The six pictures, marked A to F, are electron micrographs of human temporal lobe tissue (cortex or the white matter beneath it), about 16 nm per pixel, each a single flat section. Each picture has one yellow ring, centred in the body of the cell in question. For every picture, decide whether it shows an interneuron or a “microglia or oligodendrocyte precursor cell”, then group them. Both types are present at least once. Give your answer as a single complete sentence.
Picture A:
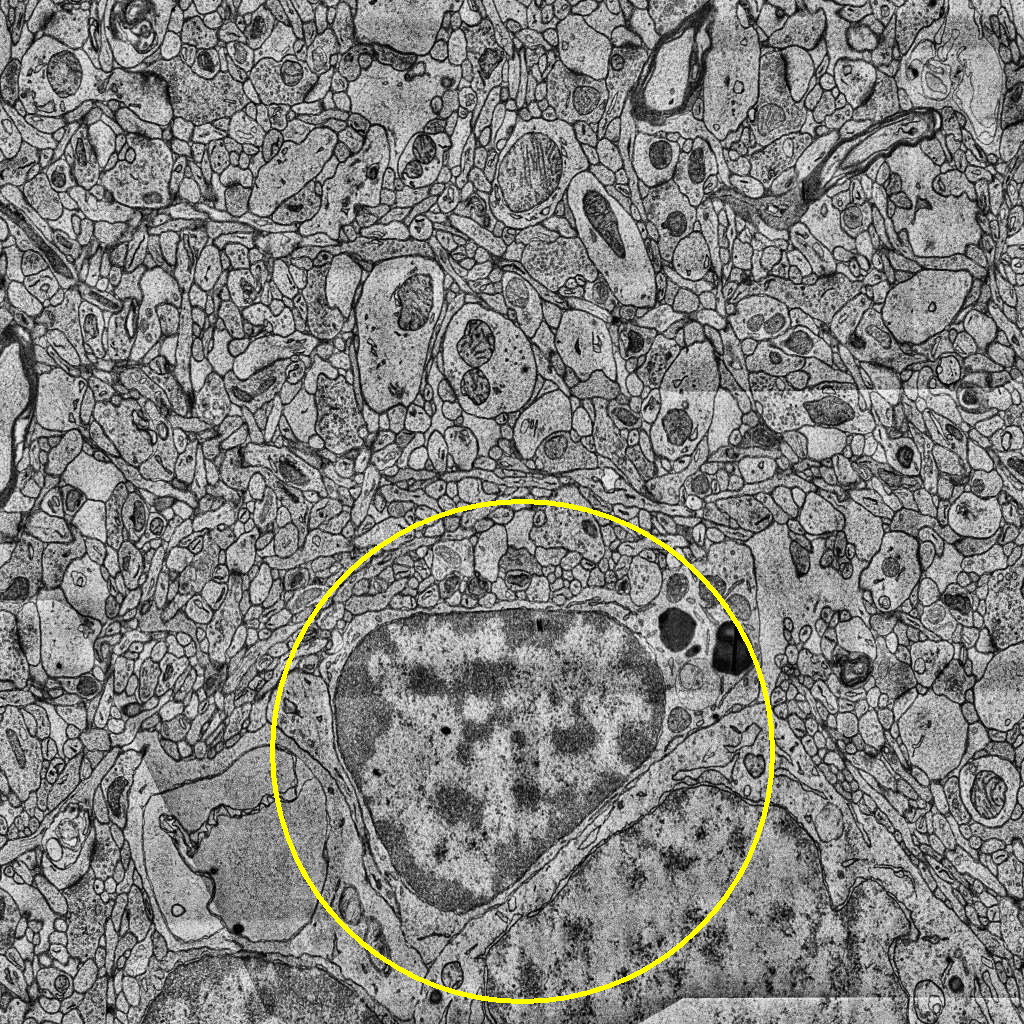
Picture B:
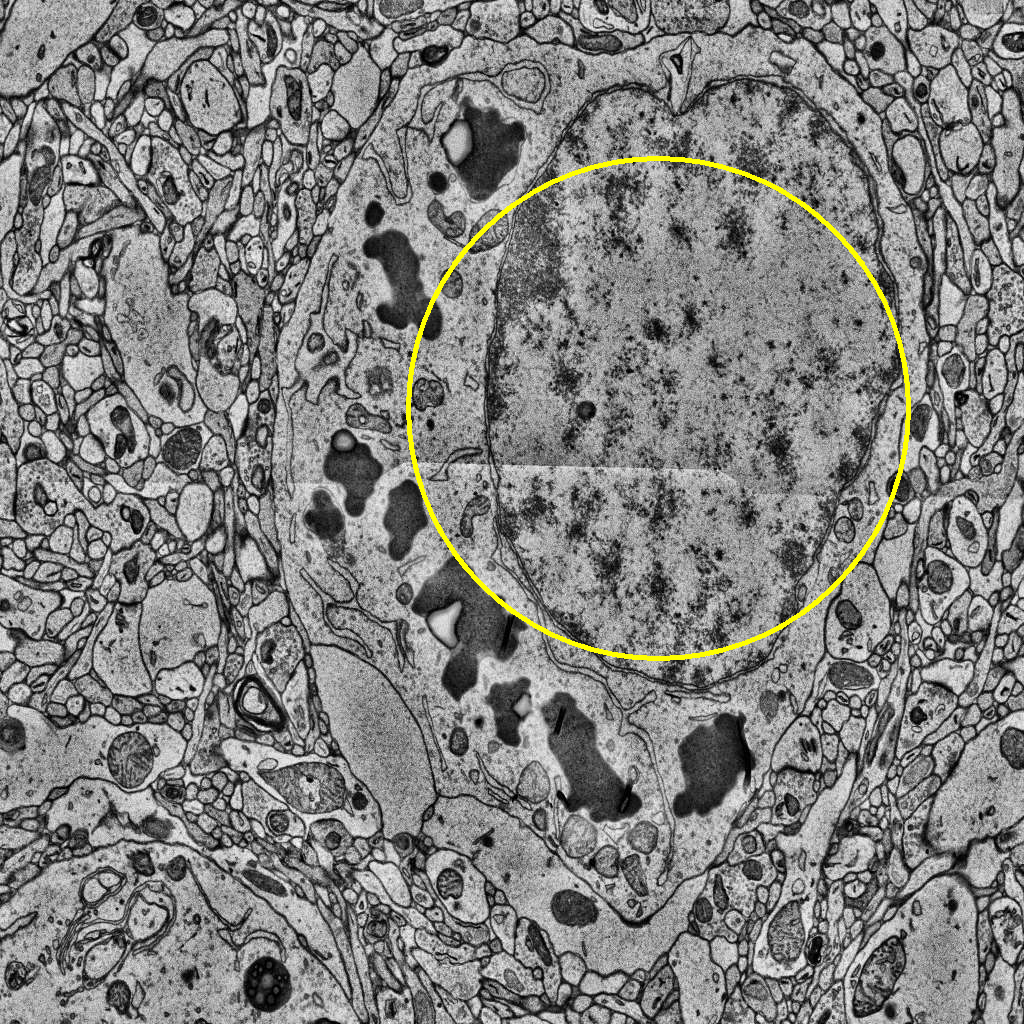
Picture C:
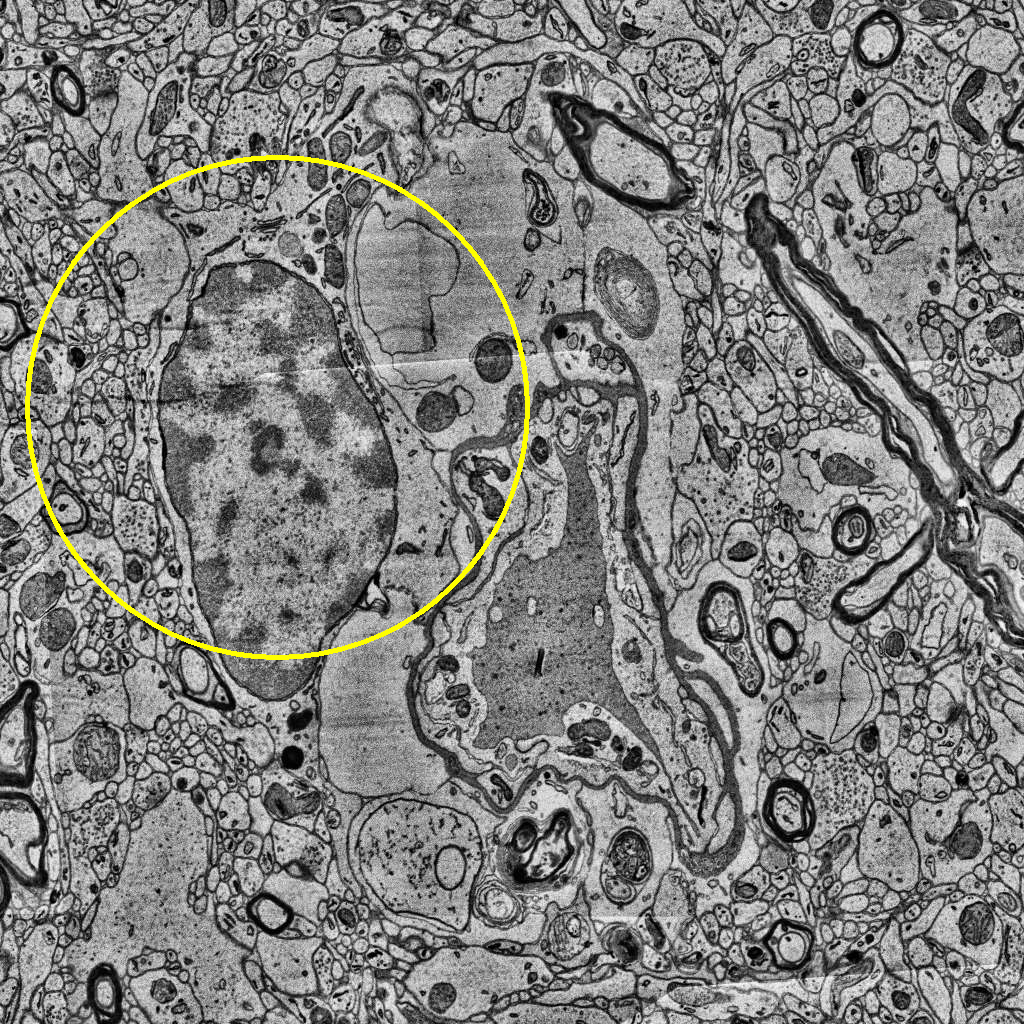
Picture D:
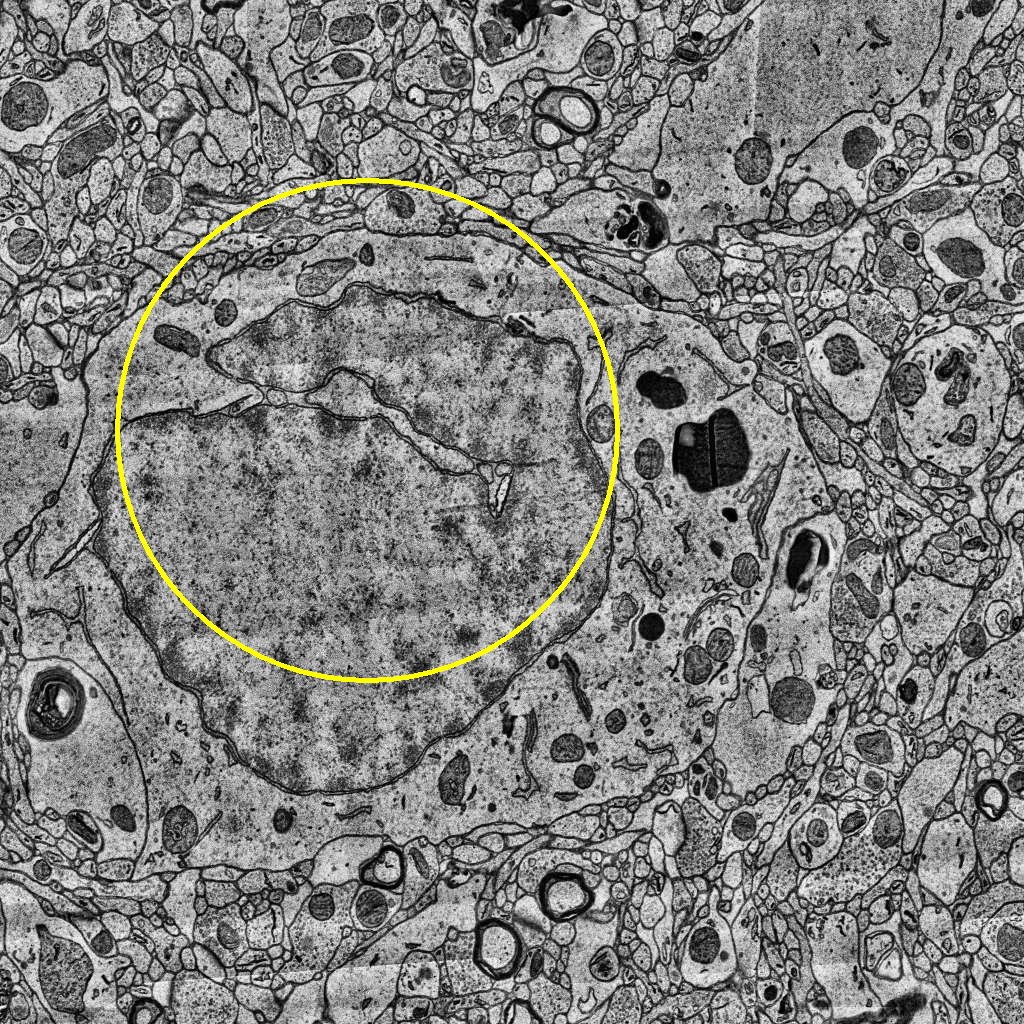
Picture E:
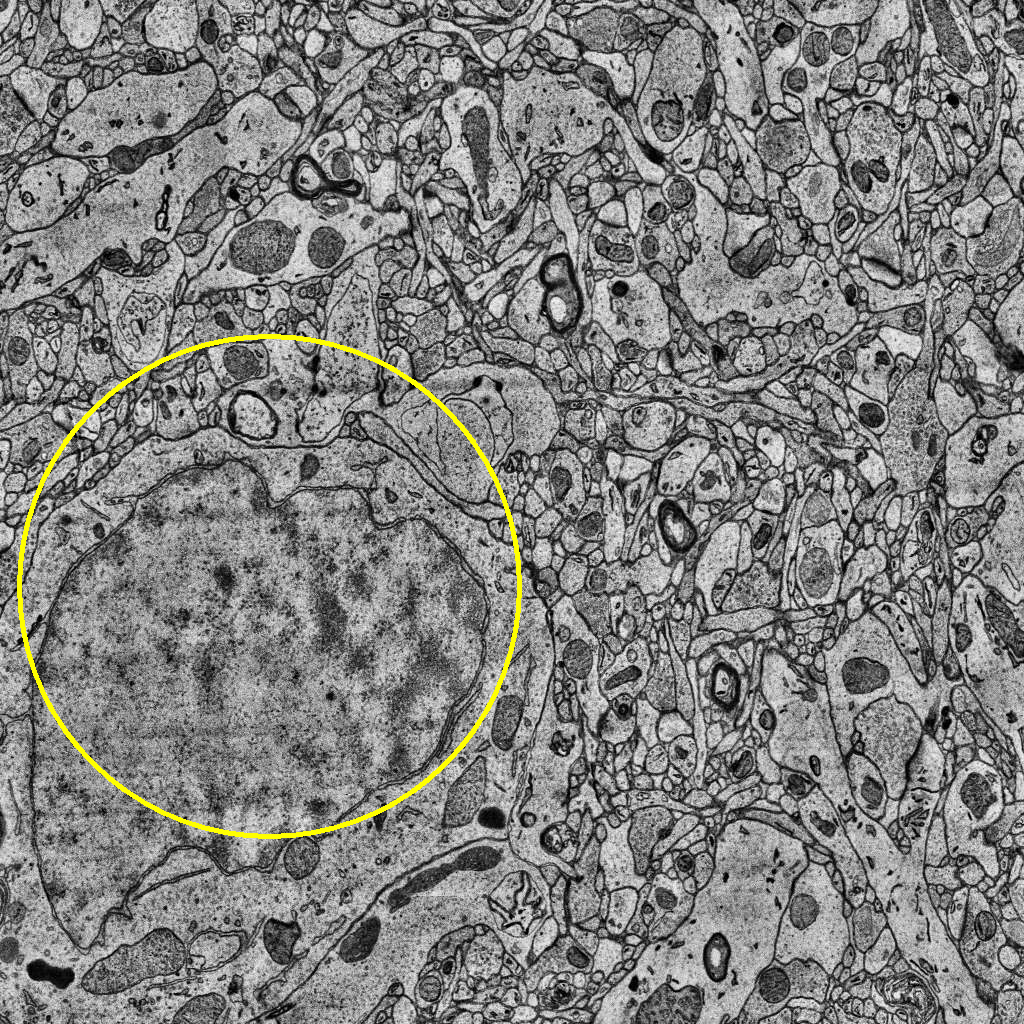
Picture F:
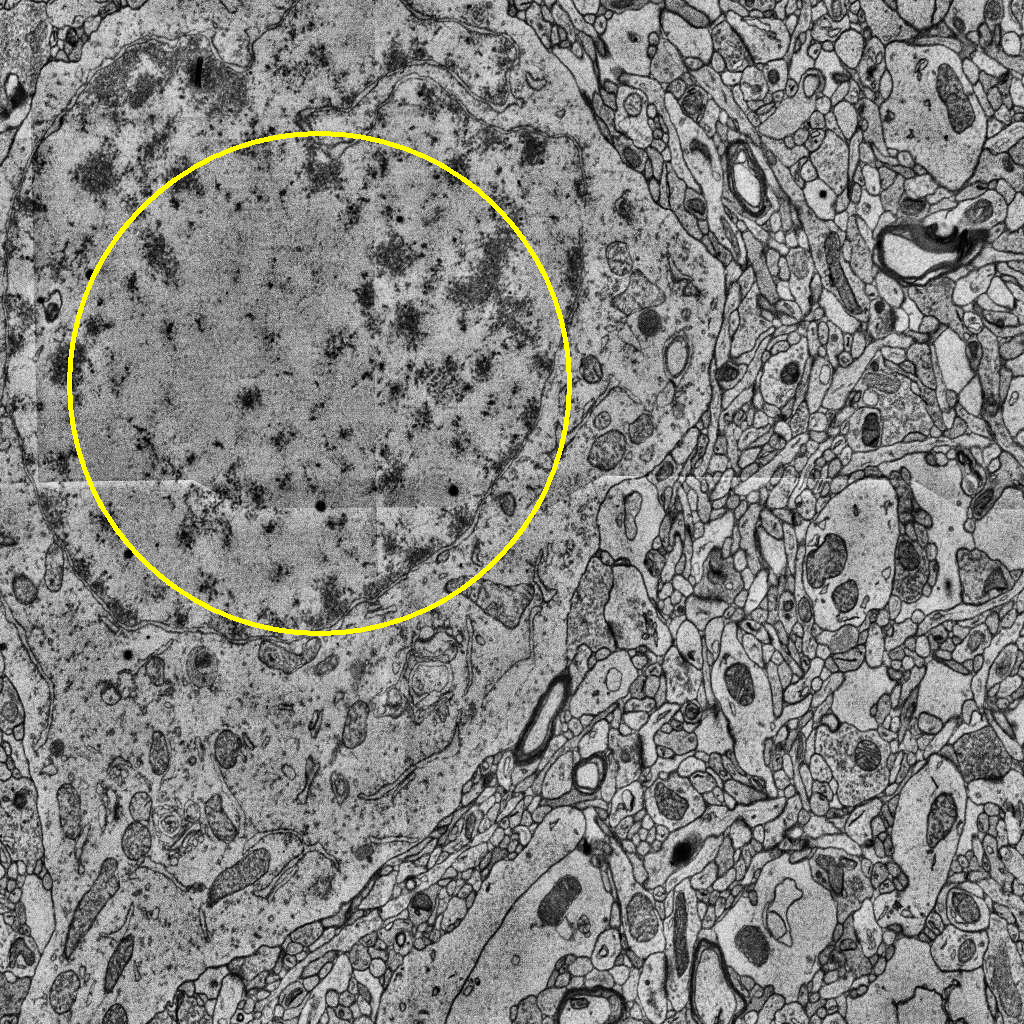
Pictures B, D, E and F show interneurons; pictures A and C show “microglia or oligodendrocyte precursor cells”.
